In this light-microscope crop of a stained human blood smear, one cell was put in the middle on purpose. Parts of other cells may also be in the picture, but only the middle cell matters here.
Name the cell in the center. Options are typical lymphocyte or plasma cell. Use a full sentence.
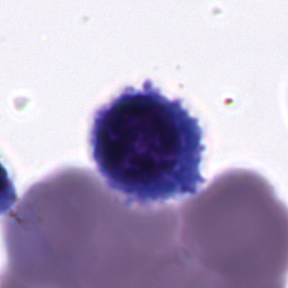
Whatever else lies nearby, the middle cell is a plasma cell.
